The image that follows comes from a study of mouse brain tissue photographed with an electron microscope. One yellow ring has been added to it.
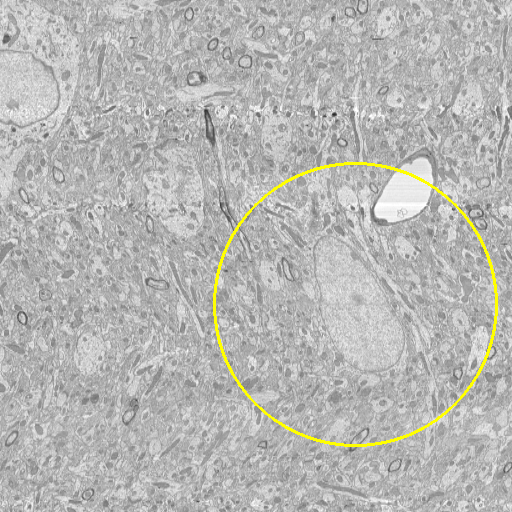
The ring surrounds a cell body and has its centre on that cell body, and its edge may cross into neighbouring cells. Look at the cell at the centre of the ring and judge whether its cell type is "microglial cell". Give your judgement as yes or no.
no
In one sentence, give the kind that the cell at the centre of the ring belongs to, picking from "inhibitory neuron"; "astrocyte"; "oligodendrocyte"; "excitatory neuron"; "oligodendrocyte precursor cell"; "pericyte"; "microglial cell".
What the ring is centred on is an astrocyte.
